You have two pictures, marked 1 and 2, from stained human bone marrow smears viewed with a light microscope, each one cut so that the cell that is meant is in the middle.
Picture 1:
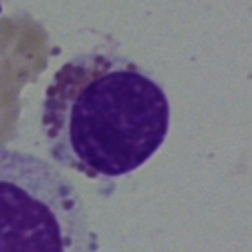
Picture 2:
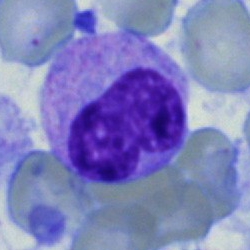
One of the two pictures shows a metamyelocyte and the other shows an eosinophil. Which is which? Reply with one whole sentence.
Picture 2 shows a metamyelocyte, while picture 1 shows an eosinophil.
